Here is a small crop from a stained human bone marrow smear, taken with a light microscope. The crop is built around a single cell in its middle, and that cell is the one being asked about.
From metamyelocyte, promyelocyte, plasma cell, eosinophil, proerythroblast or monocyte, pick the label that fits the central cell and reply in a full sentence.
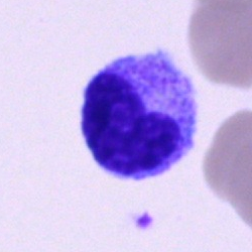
At the crop's centre, the cell is a metamyelocyte.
